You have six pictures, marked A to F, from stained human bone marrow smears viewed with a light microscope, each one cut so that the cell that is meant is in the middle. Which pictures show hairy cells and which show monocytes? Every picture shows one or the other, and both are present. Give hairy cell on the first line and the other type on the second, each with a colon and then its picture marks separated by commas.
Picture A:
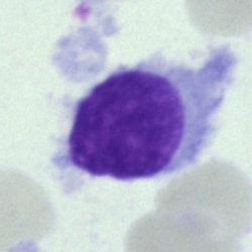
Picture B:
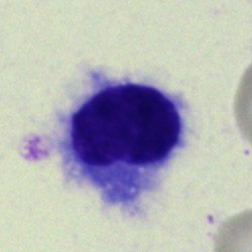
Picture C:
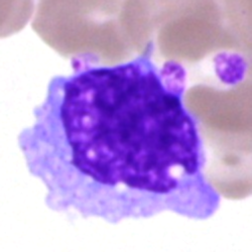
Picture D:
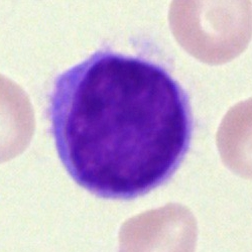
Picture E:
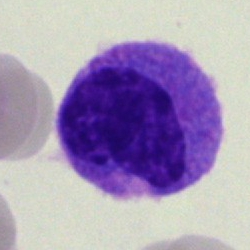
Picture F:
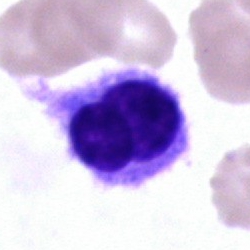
hairy cell: A, B, D, F
monocyte: C, E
